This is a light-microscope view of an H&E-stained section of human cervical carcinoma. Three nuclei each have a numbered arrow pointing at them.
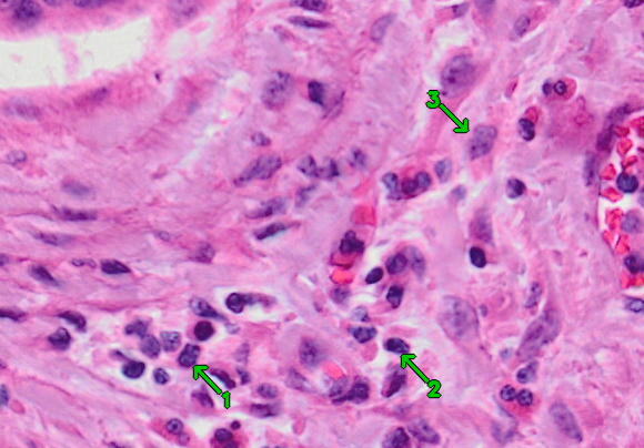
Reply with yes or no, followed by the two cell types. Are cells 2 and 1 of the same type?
Yes, cells 2 and 1 are lymphocytes, the two of them alike.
